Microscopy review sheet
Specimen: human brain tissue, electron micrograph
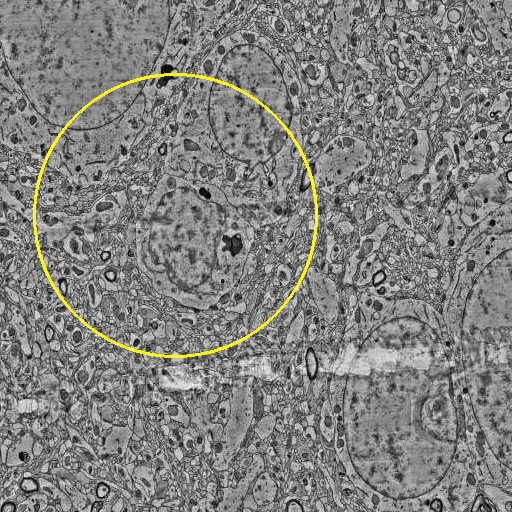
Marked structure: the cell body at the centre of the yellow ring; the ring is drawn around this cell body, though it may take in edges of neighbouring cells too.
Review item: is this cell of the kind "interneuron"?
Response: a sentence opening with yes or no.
Yes, this cell is of that kind.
